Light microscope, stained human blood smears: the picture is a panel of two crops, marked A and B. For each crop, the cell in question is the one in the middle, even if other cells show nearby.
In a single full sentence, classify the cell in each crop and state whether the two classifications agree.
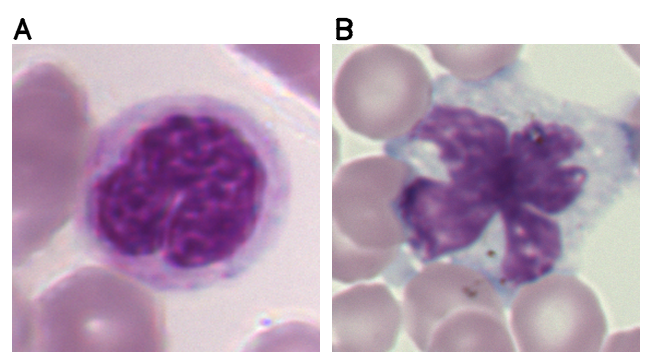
No, the cell shown in crop A is a band neutrophil, and the cell shown in crop B is a monocyte.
